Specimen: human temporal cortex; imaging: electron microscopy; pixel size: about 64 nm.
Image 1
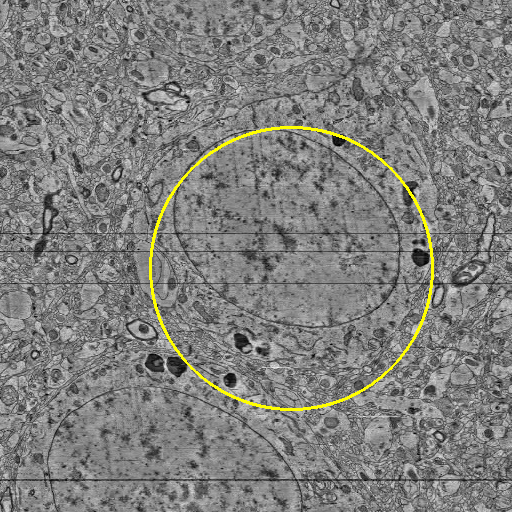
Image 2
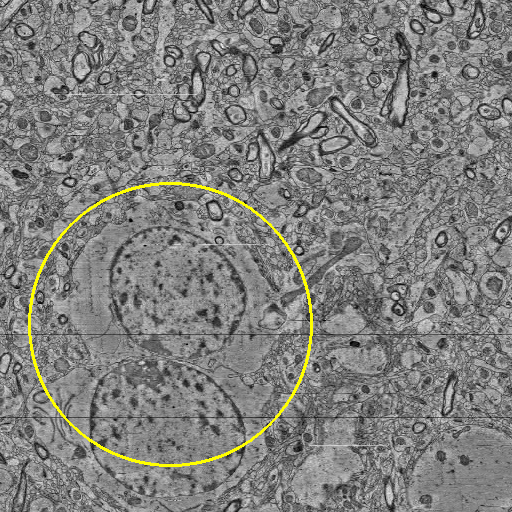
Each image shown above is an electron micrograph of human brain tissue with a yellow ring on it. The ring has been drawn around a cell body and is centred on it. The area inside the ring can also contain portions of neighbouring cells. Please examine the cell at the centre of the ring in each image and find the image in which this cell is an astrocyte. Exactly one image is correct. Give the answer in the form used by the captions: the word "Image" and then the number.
Image 2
